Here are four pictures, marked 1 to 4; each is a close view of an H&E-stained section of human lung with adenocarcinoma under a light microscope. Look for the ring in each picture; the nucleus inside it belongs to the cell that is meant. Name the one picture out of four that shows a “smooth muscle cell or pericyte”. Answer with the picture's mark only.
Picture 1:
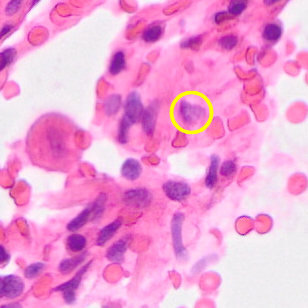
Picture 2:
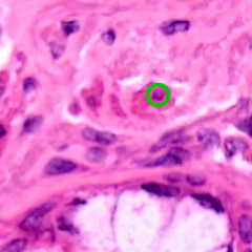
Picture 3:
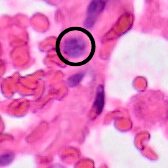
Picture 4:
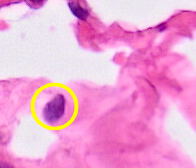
2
